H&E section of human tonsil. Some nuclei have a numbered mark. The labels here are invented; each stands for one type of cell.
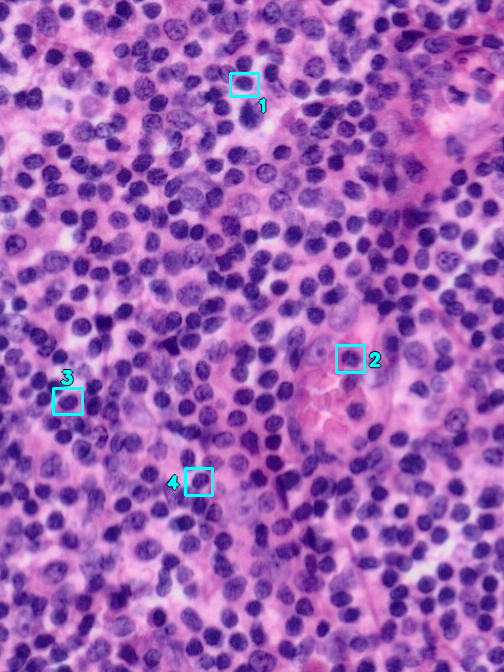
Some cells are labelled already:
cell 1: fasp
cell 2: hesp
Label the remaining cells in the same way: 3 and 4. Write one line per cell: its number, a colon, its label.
3: fasp
4: fasp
